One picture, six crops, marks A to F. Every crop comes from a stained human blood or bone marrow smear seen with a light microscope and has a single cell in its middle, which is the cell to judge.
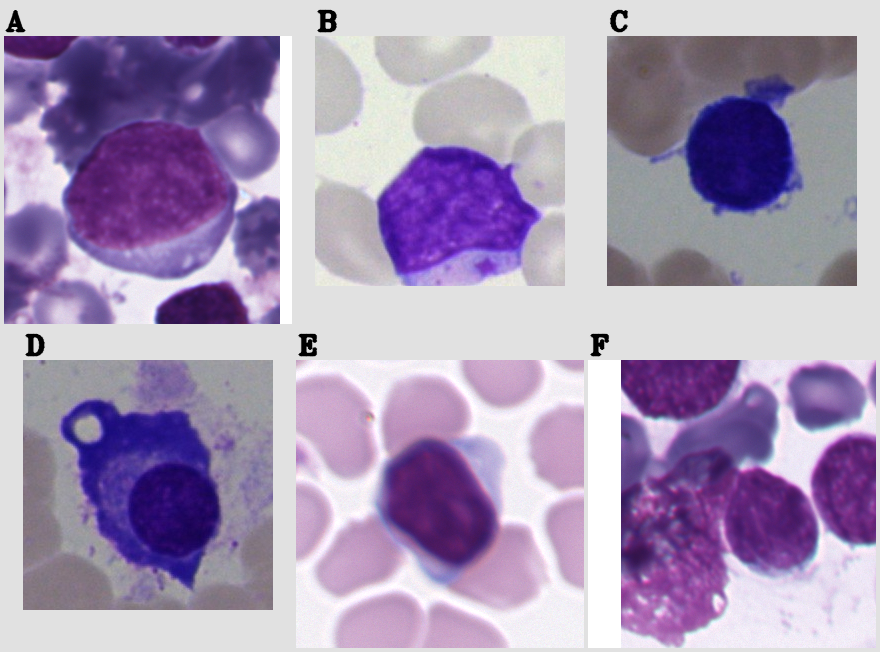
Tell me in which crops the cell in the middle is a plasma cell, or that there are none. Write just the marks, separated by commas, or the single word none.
D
